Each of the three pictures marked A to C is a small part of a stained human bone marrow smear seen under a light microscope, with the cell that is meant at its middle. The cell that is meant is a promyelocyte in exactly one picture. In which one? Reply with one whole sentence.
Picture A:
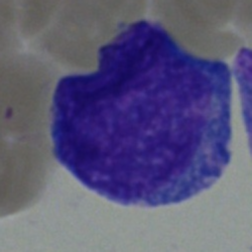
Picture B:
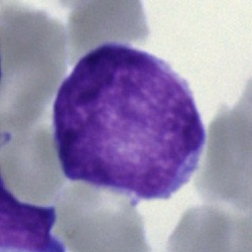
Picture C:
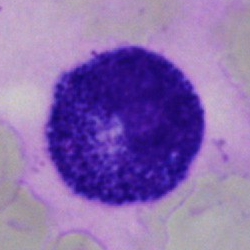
It is picture C that shows the promyelocyte.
